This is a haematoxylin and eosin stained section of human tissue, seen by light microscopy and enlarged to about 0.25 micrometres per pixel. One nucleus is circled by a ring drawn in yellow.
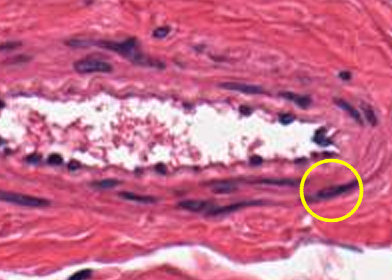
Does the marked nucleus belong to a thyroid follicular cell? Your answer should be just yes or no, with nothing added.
no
